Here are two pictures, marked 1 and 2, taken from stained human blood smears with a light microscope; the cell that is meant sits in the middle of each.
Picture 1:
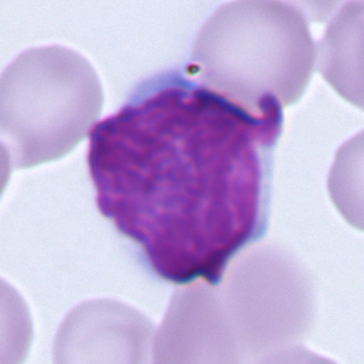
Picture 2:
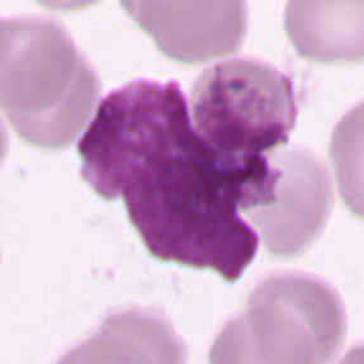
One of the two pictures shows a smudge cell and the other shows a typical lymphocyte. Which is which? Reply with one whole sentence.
The cell in picture 1 is a typical lymphocyte, and the one in picture 2 is a smudge cell.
